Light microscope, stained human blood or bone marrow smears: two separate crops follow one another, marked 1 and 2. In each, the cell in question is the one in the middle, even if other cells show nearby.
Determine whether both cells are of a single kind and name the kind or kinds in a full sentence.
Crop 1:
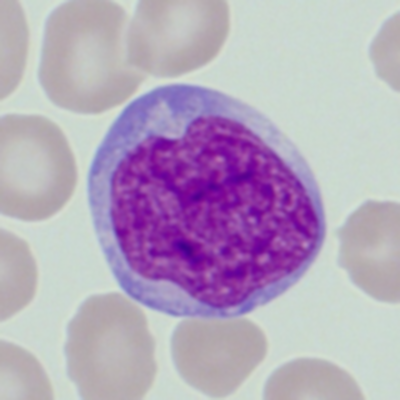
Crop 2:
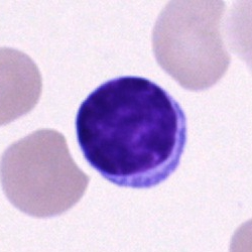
No, it is a blast in crop 1 and a lymphocyte in crop 2.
